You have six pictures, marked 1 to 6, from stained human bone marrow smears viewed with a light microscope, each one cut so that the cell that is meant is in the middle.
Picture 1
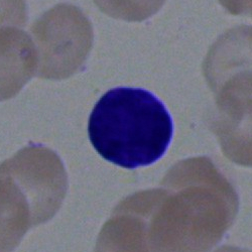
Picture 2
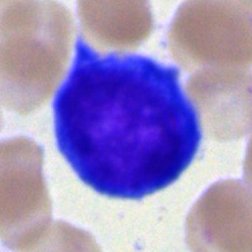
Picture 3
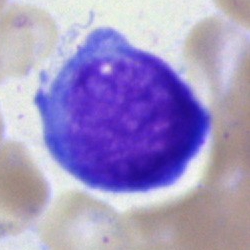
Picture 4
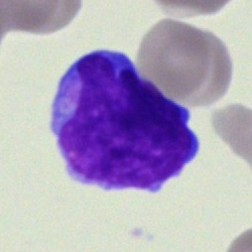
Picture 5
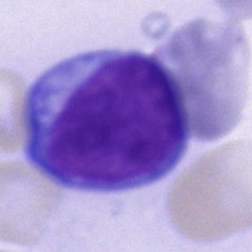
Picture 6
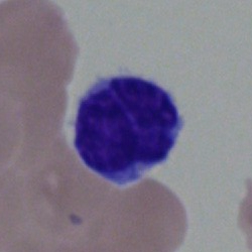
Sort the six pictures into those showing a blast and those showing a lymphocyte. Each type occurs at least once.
1: lymphocyte
2: blast
3: blast
4: blast
5: blast
6: lymphocyte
